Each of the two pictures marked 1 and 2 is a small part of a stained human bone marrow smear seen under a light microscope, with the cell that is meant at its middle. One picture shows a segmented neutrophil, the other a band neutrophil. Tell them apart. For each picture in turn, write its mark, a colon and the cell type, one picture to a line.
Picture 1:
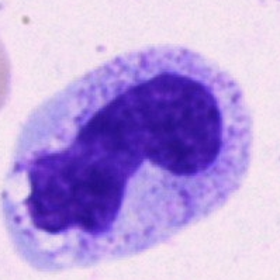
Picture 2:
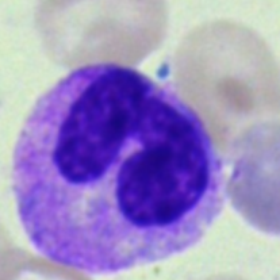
1: band neutrophil
2: segmented neutrophil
